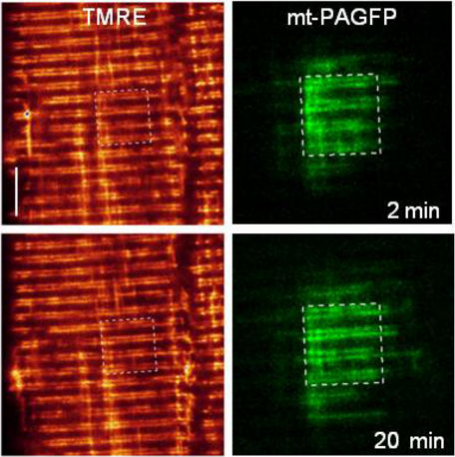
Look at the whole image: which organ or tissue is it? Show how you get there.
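A long, wide fiber runs across each frame. Bright signal lies in regular, evenly spaced transverse bands across the fiber. The bands repeat at a regular interval along the fiber's length.
Conclusion: muscle fibers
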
